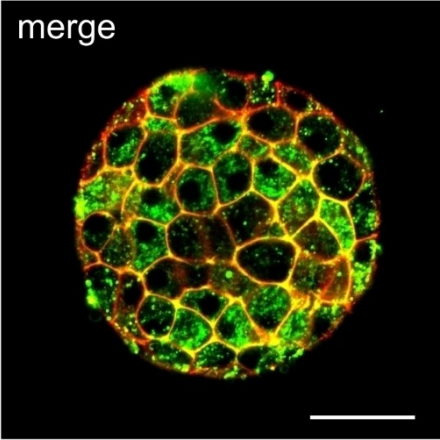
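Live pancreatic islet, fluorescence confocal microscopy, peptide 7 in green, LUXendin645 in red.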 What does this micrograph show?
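Inside many cells there are scattered small green dots in the cytoplasm, while the middle of each cell often shows a darker round area where the nucleus lies. The edge of the cluster is smooth and rounded, with a few brighter green specks along its rim.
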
